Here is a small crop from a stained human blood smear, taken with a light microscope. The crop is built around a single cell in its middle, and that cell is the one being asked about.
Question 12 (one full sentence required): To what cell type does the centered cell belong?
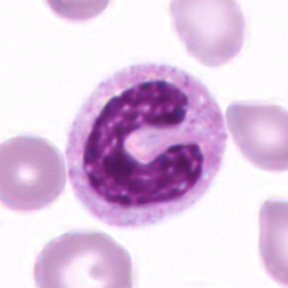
The cell featured at the centre of this crop is a band neutrophil.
